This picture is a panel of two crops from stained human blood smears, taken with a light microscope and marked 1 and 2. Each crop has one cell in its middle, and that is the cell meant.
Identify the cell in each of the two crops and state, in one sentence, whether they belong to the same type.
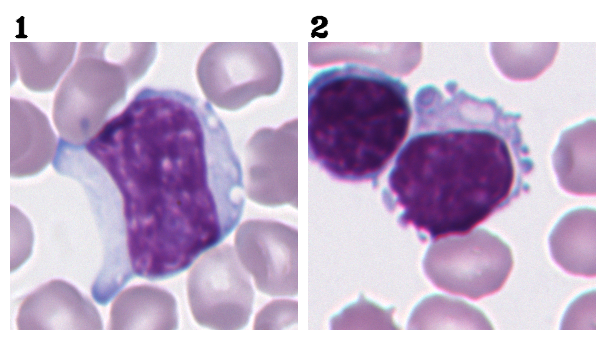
No, record crop 1 as a myeloblast and crop 2 as a typical lymphocyte.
